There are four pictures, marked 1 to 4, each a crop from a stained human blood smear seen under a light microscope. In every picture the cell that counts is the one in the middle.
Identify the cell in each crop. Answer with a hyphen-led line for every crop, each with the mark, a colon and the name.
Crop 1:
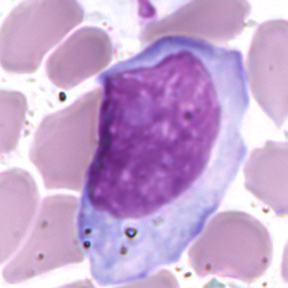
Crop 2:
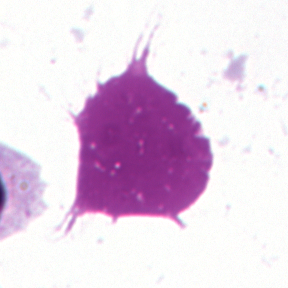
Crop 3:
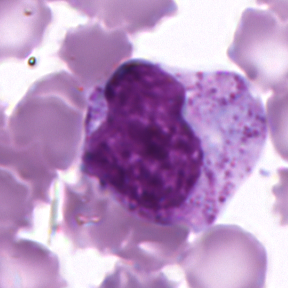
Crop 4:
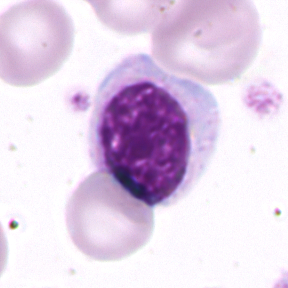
- 1: plasma cell
- 2: smudge cell
- 3: metamyelocyte
- 4: metamyelocyte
